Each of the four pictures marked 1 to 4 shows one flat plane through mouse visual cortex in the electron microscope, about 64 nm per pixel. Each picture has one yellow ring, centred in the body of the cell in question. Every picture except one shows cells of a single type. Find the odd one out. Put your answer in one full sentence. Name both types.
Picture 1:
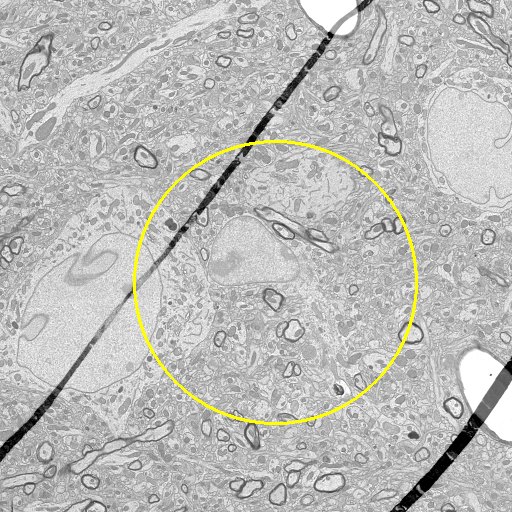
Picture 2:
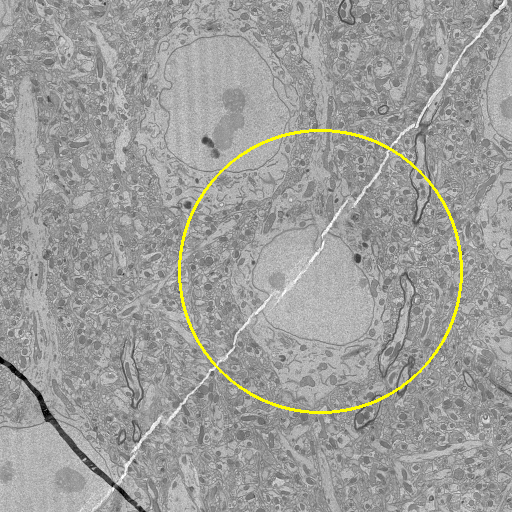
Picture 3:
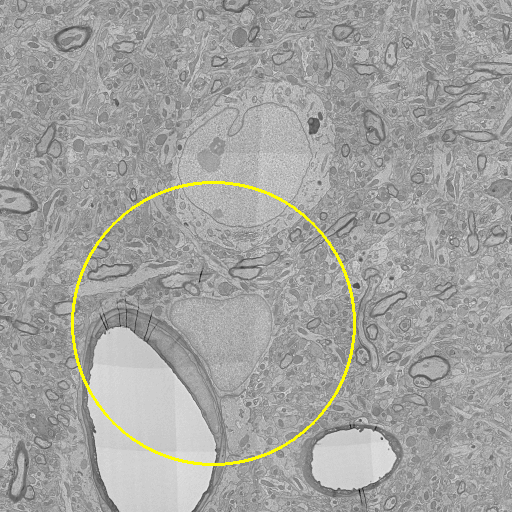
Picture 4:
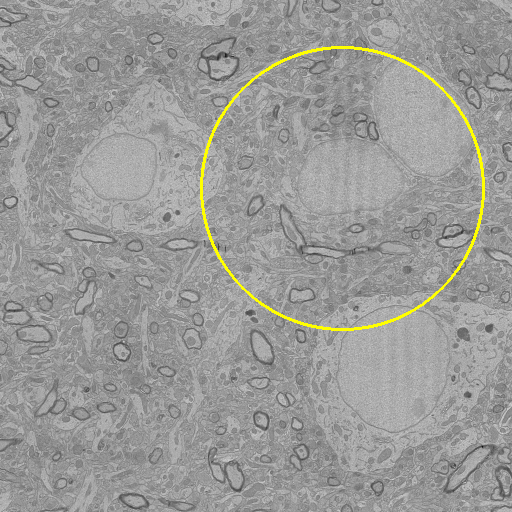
All pictures except 2 show astrocytes; picture 2 shows an excitatory neuron.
